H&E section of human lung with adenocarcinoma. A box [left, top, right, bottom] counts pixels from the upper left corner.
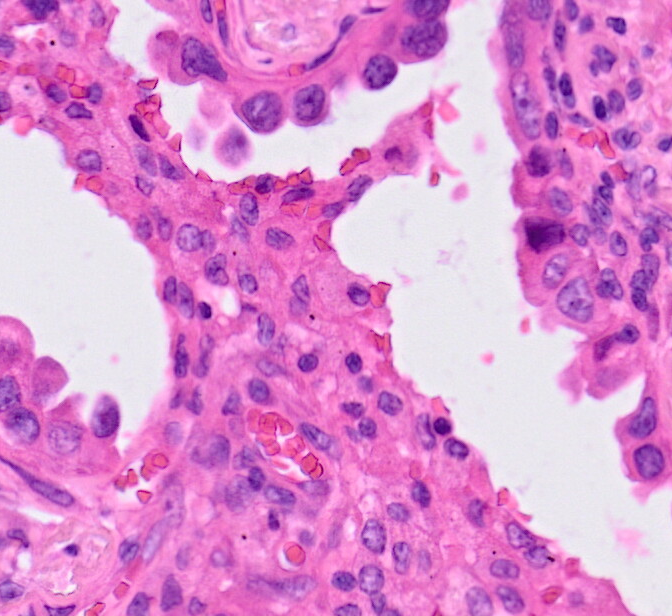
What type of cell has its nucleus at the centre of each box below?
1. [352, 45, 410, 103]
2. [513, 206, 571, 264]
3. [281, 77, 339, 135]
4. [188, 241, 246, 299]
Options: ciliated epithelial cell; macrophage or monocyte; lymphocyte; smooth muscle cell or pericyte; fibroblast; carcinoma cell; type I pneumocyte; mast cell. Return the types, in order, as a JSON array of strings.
["carcinoma cell", "carcinoma cell", "carcinoma cell", "macrophage or monocyte"]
